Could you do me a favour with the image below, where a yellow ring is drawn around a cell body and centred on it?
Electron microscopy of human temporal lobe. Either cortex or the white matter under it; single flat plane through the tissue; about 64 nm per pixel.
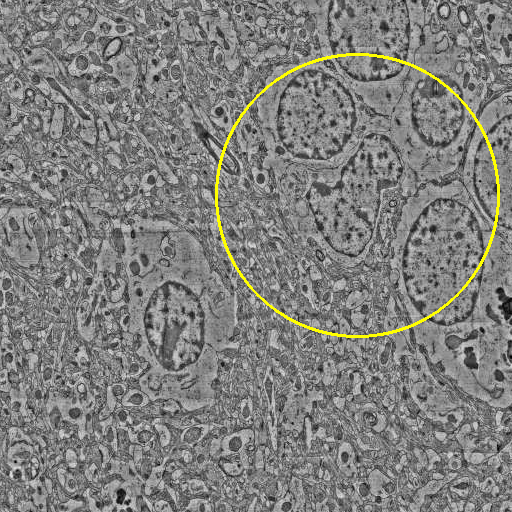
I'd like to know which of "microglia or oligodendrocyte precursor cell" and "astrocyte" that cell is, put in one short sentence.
The cell at the ring's centre is a microglial cell or oligodendrocyte precursor cell.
